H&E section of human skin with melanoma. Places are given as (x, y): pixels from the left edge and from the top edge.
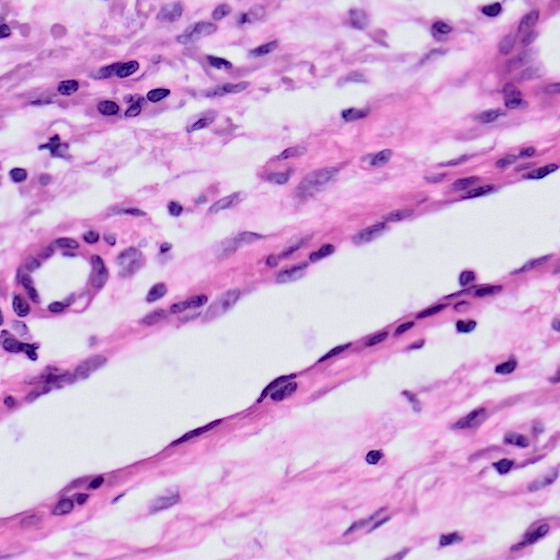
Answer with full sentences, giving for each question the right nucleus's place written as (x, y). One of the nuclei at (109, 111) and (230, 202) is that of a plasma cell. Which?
The nucleus contained in a plasma cell is the one at (109, 111).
